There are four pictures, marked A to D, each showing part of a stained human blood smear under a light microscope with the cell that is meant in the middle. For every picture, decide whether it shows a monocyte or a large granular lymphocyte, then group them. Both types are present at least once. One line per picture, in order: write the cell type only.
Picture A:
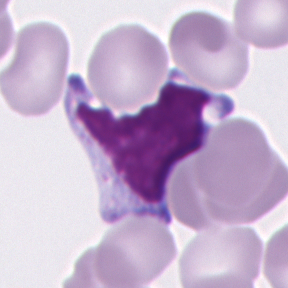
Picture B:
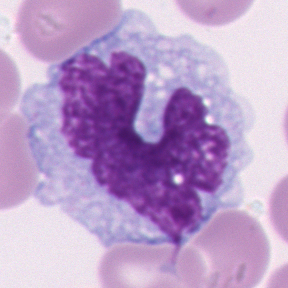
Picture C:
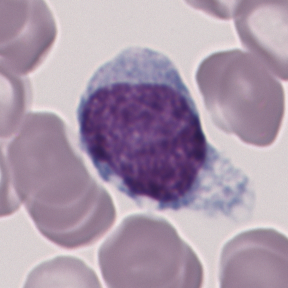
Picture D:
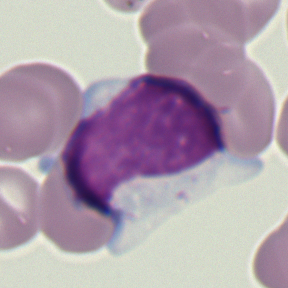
large granular lymphocyte
monocyte
monocyte
large granular lymphocyte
